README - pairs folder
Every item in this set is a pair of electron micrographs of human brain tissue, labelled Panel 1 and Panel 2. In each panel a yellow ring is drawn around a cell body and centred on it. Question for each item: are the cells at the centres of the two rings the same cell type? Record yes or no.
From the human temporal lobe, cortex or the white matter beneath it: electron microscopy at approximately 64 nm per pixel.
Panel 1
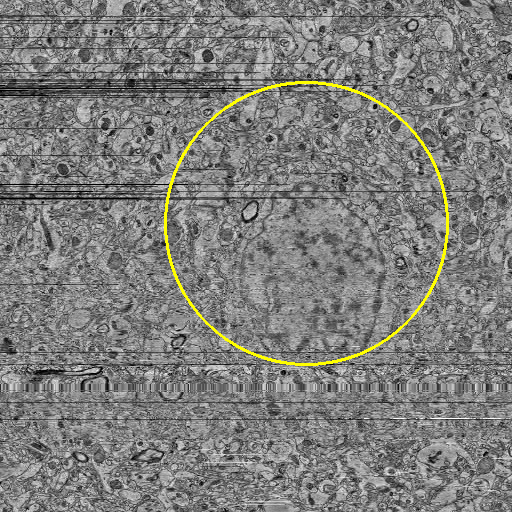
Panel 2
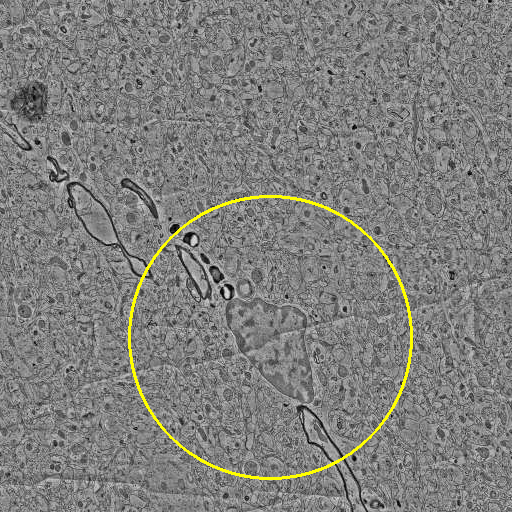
no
